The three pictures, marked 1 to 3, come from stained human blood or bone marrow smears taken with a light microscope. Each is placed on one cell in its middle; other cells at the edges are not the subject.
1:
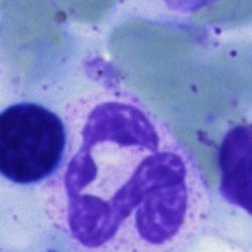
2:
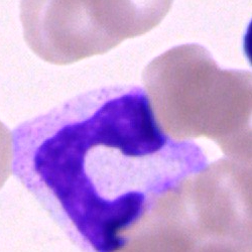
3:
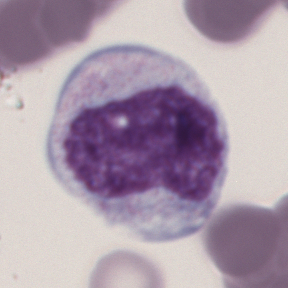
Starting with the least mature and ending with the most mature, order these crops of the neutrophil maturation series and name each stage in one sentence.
Listed from least to most mature, the crops read crop 3 (a metamyelocyte), crop 2 (a band neutrophil) and crop 1 (a segmented neutrophil).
